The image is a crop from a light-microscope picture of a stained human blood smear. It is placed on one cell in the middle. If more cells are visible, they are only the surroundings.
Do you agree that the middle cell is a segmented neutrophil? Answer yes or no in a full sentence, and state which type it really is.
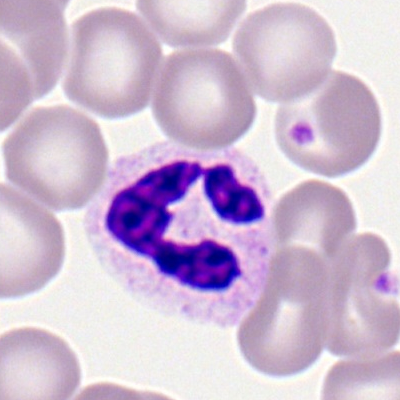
Yes, the cell in the middle is rightly called a segmented neutrophil.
